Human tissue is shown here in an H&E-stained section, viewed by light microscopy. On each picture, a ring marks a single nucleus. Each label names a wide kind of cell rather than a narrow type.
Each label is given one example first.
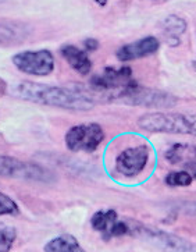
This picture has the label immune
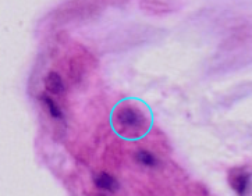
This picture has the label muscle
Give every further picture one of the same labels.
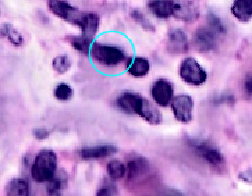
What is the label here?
immune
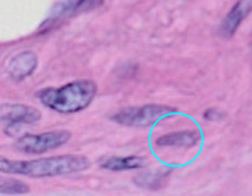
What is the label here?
muscle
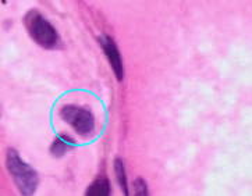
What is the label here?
immune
